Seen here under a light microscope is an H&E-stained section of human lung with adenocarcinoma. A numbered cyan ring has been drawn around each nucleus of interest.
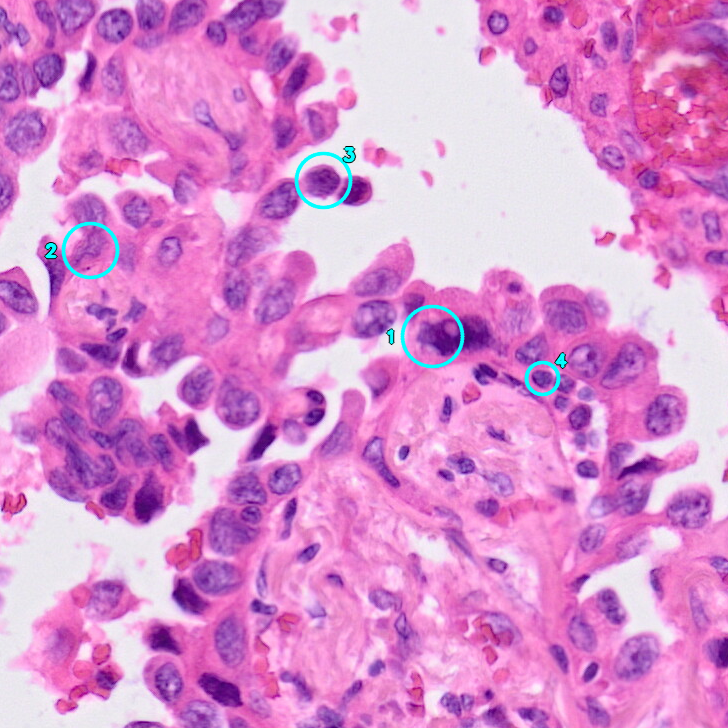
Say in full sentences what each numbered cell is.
Cells 1, 2 and 3 are carcinoma cells. Cell 4 is a lymphocyte.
